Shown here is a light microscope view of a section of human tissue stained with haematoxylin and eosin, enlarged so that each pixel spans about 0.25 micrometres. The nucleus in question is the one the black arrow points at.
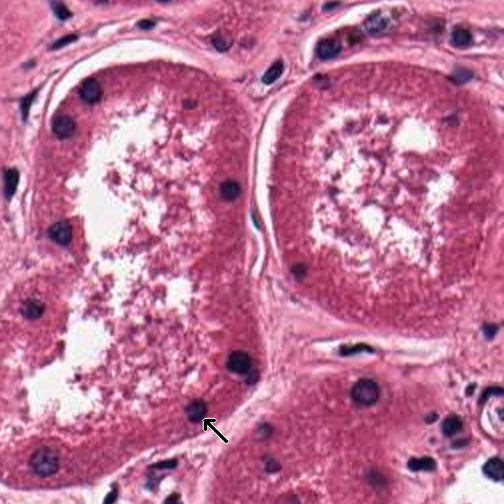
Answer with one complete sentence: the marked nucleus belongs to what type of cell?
In this picture it is a proximal tubule cell whose nucleus is marked.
